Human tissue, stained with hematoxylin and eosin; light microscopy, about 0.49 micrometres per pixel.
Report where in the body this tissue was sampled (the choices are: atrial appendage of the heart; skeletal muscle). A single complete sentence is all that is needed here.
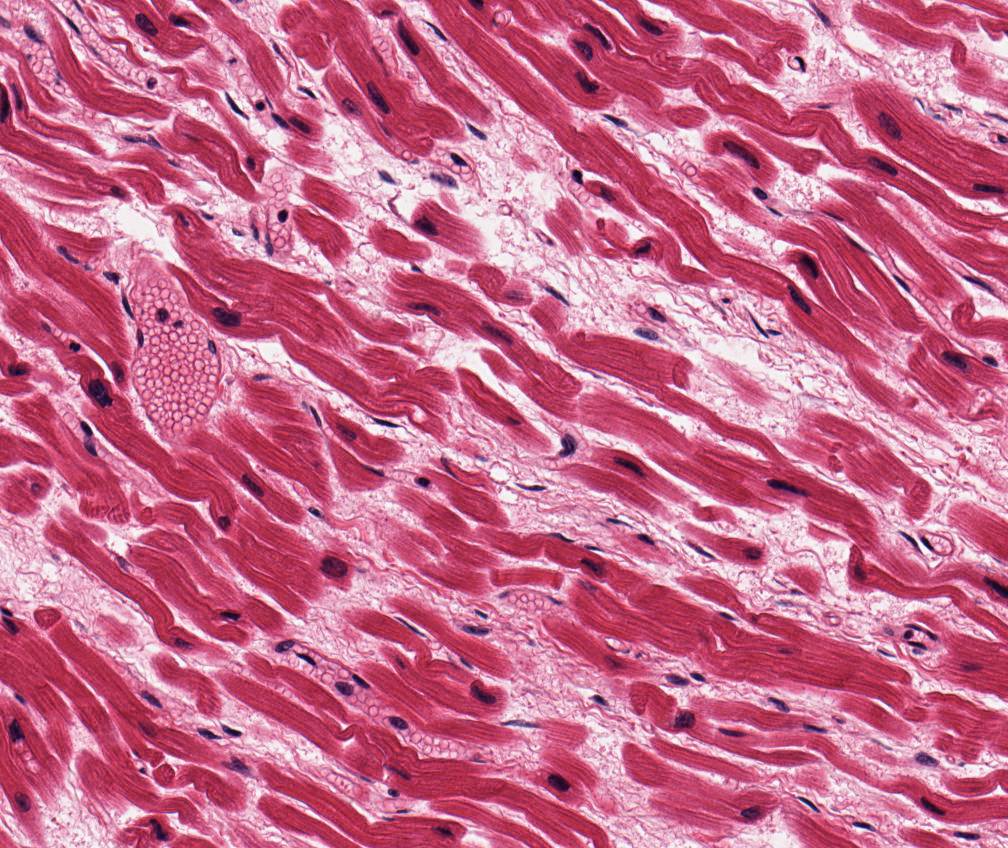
From the atrial appendage of the heart this tissue was sampled.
